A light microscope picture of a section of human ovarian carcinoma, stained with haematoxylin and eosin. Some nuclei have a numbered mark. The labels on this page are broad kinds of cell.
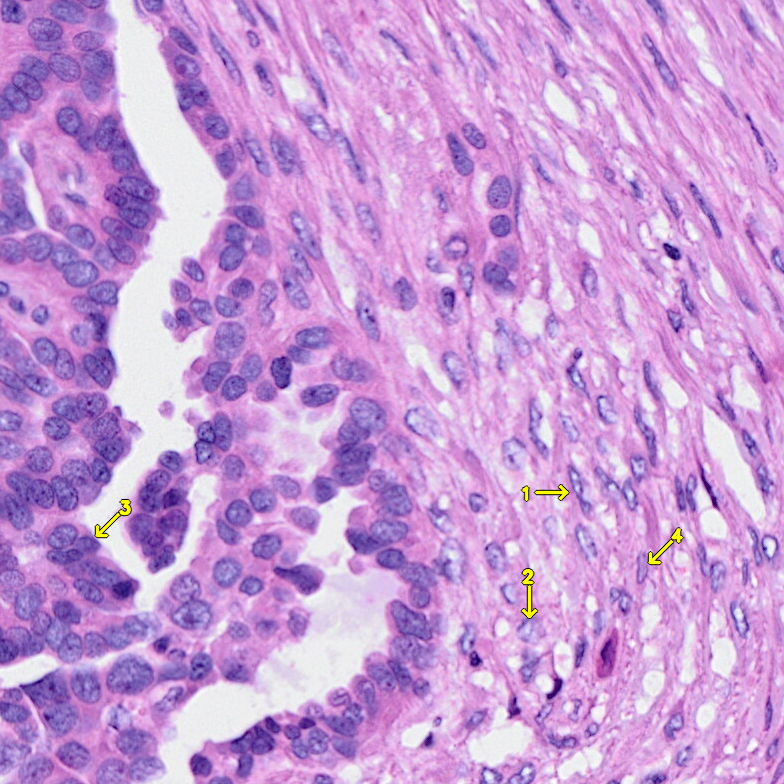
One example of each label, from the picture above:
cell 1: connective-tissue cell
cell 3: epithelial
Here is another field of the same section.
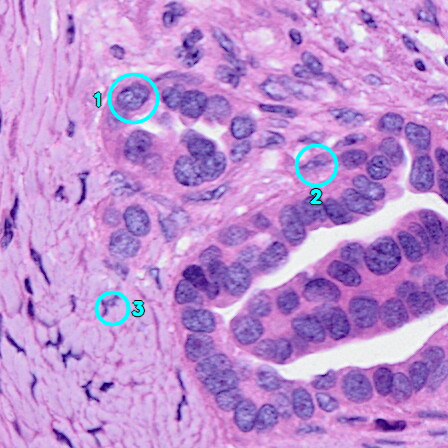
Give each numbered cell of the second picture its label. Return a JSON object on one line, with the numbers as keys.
{"1": "epithelial", "2": "connective-tissue cell", "3": "connective-tissue cell"}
